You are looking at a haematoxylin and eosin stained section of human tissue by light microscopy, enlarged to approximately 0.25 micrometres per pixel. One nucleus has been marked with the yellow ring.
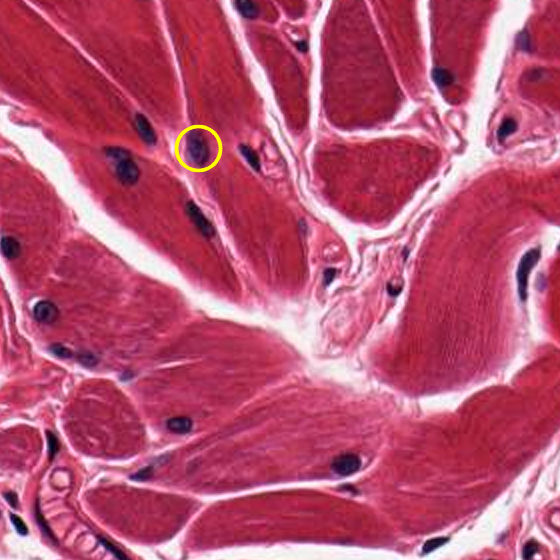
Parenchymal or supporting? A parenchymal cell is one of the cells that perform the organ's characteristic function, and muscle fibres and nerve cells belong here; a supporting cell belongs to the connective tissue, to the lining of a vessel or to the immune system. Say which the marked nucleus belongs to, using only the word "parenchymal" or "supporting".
parenchymal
